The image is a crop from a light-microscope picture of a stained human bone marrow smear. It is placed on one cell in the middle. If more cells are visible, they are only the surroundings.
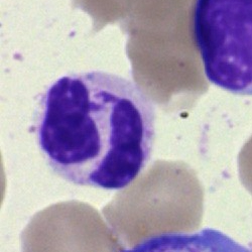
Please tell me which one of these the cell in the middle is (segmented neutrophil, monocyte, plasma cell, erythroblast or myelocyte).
segmented neutrophil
